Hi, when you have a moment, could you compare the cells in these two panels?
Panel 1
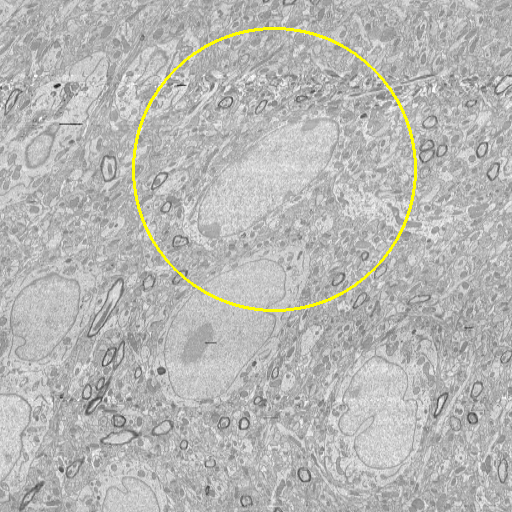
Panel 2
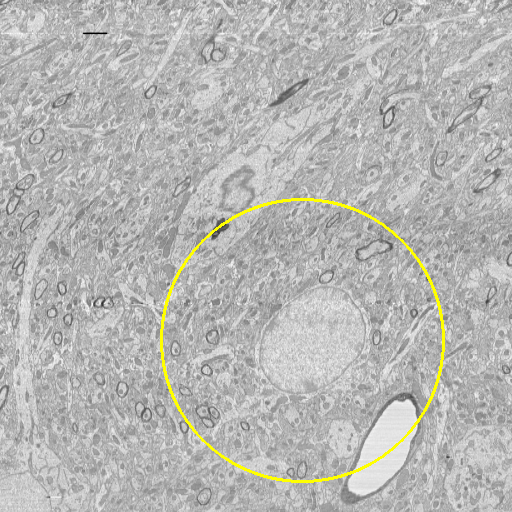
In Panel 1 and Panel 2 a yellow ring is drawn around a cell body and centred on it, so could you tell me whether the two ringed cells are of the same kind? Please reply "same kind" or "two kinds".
same kind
